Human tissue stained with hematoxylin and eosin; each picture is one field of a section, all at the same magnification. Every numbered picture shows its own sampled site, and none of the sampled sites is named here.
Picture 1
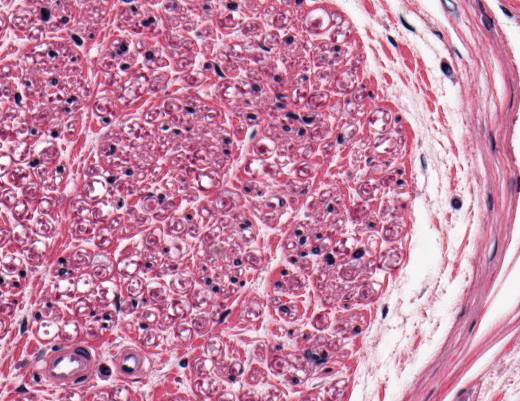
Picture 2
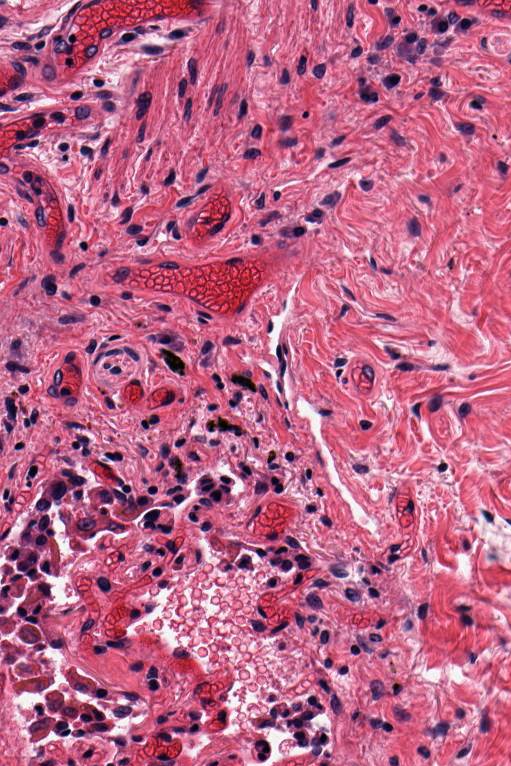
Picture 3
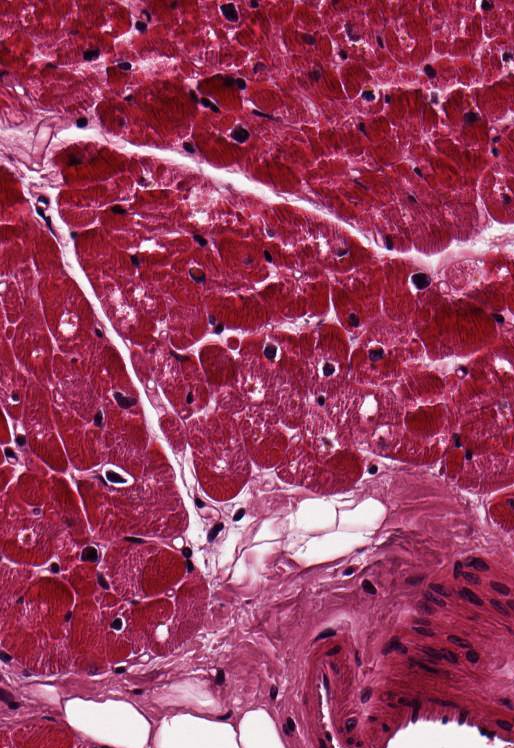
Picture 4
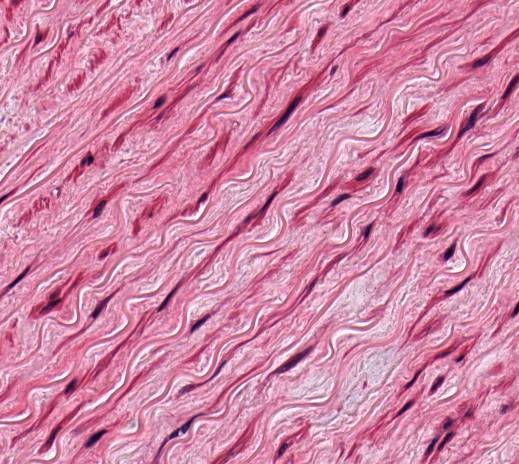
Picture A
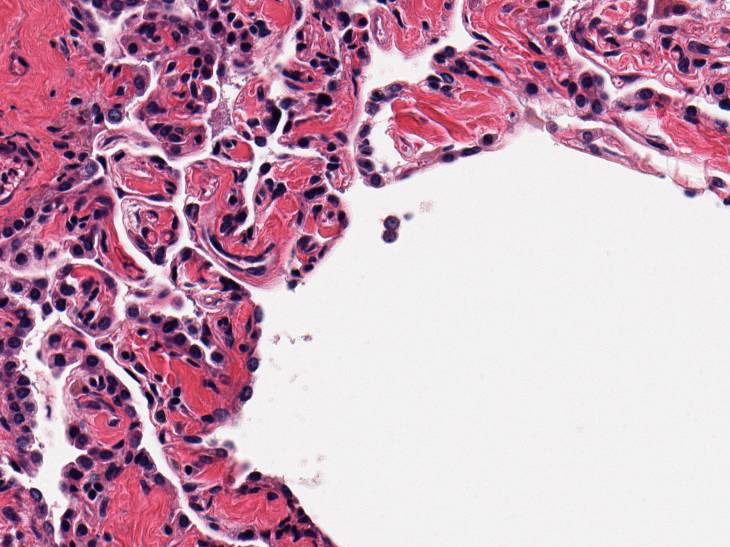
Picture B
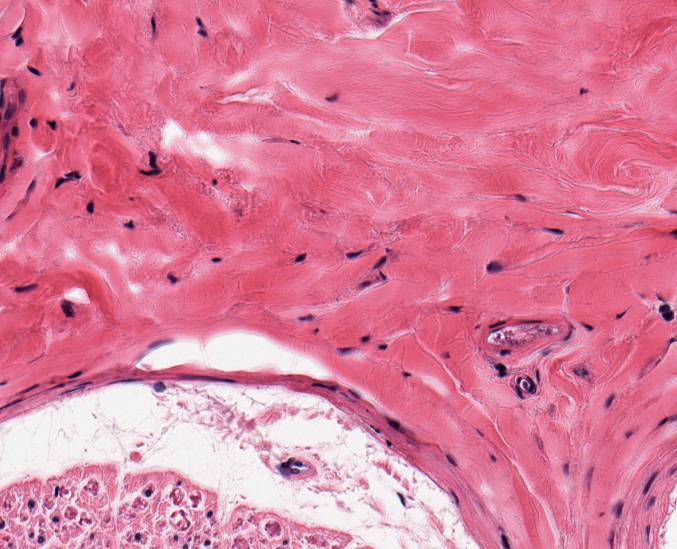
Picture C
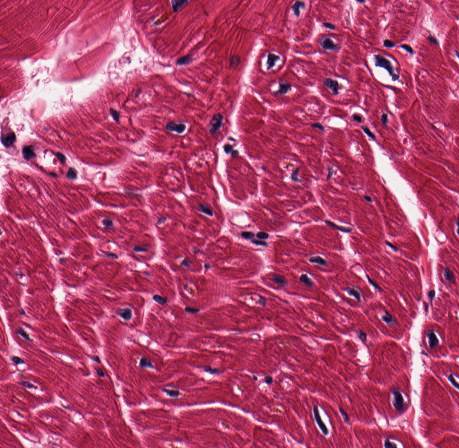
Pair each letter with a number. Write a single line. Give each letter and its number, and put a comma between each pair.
A 2, B 1, C 3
